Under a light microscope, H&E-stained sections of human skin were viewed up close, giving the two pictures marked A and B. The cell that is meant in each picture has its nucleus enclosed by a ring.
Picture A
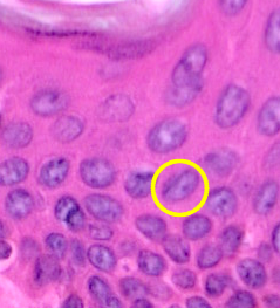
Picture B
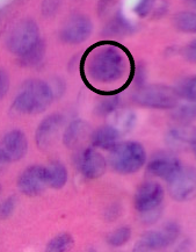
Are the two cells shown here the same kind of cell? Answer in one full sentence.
No, they differ: the cell is a suprabasal keratinocyte in picture A and a basal keratinocyte in picture B.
